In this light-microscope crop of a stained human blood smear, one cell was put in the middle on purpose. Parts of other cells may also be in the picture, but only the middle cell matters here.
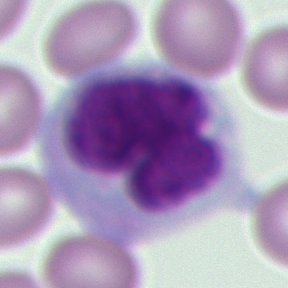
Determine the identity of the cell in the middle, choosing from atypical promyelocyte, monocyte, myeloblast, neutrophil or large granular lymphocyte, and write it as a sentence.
The cell under consideration, at the middle of the crop, is a monocyte.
